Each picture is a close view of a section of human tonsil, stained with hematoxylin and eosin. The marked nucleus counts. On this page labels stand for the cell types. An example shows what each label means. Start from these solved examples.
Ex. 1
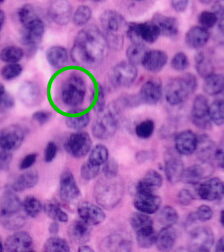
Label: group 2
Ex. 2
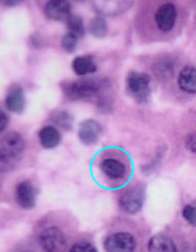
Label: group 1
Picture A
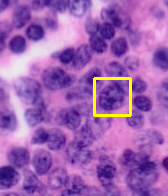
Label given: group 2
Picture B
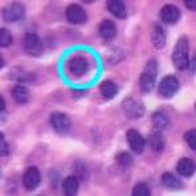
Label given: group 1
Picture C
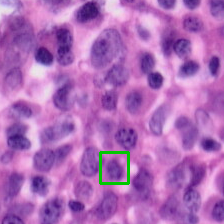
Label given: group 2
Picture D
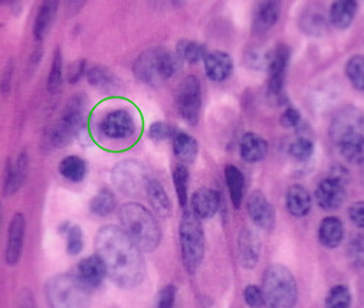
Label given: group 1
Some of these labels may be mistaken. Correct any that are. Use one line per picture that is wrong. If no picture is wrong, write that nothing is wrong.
C should be group 1, not group 2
